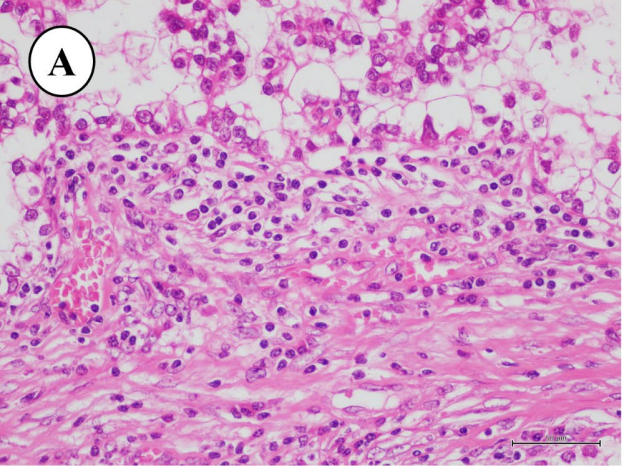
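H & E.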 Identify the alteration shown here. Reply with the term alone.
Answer: Clear cell carcinoma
